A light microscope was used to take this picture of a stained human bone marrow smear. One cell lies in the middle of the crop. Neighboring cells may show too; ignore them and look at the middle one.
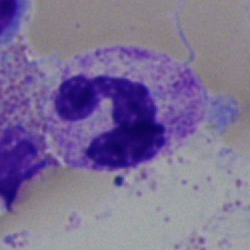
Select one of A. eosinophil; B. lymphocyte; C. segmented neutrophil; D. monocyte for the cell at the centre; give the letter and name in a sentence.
What sits in the middle of the crop is a segmented neutrophil, and option C is correct.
